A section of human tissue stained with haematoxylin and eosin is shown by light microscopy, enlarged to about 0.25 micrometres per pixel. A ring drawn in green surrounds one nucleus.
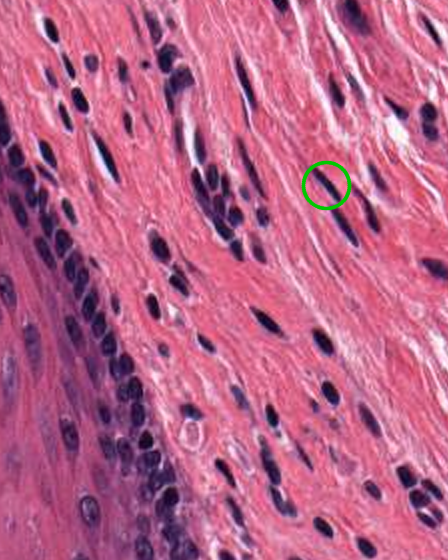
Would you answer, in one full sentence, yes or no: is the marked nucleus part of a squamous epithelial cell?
No, it is not a squamous epithelial cell but a supporting cell to which the marked nucleus is assigned.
